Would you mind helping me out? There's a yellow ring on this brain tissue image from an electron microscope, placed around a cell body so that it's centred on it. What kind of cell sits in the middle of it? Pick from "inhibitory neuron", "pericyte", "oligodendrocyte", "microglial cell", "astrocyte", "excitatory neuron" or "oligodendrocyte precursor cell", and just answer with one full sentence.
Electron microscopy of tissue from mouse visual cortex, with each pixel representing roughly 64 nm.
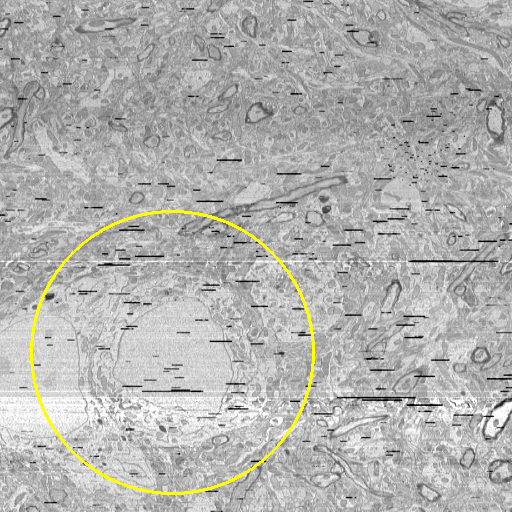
What sits in the middle of that yellow ring is an inhibitory neuron, from your choices.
